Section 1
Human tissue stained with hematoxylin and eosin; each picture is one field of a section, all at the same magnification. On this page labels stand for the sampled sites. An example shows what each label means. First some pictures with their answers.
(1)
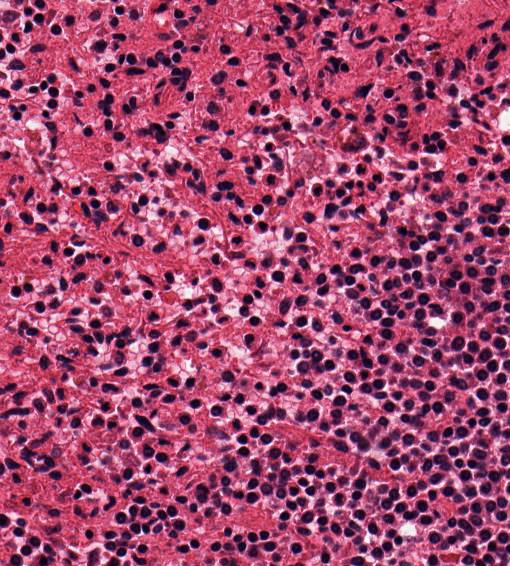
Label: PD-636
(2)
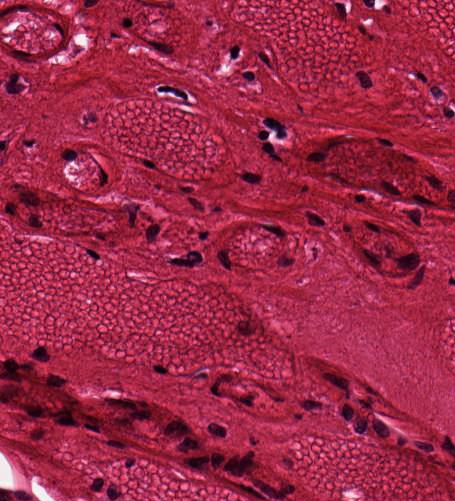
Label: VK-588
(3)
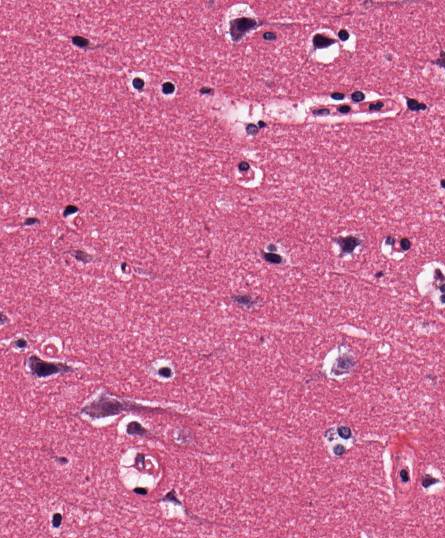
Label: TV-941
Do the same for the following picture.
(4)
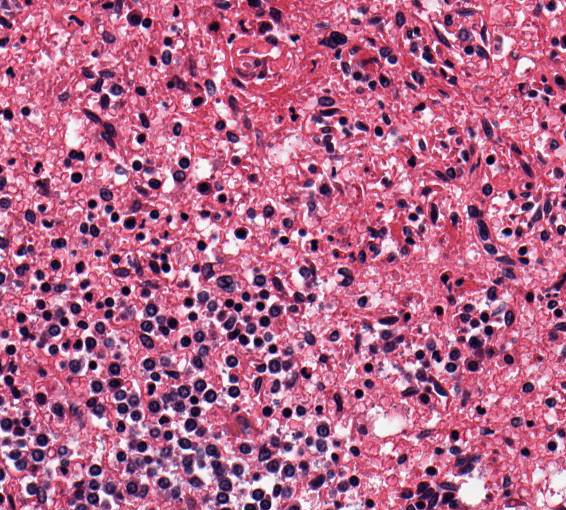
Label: PD-636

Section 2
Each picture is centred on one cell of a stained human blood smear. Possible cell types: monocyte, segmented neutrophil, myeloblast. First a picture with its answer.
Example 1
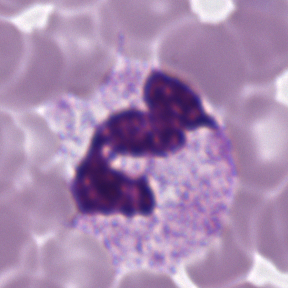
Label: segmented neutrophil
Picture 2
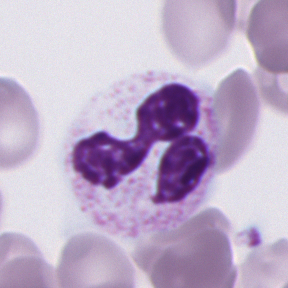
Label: segmented neutrophil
